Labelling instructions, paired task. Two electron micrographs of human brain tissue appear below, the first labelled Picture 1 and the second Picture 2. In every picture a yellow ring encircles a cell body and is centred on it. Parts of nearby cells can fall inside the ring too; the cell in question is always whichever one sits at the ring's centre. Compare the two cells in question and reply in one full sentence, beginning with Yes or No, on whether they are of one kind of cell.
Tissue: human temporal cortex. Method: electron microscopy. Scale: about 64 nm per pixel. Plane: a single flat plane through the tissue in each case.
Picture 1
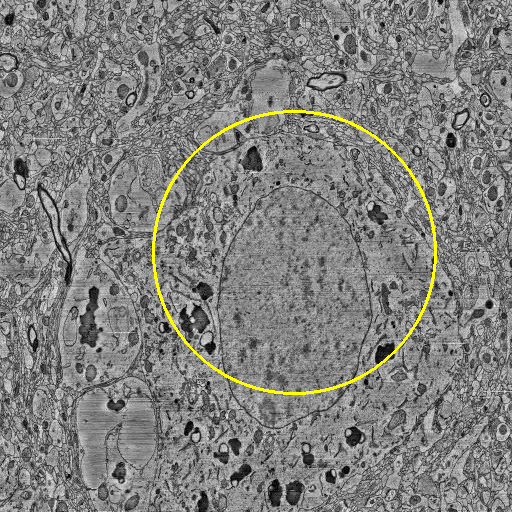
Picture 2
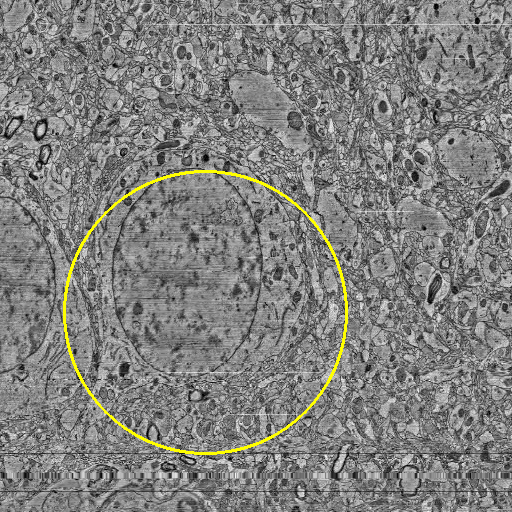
Yes, the two cells at the ring centres in Picture 1 and Picture 2 are of one kind.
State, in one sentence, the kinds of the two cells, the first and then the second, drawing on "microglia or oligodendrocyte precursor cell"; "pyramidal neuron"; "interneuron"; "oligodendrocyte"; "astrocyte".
Each one of the two ringed cells is a pyramidal neuron.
